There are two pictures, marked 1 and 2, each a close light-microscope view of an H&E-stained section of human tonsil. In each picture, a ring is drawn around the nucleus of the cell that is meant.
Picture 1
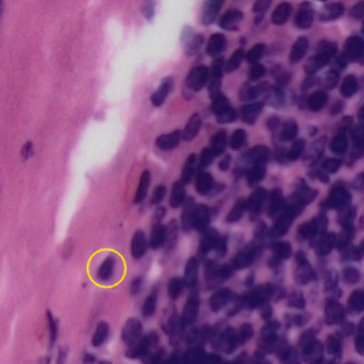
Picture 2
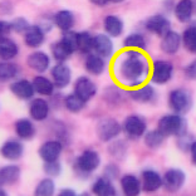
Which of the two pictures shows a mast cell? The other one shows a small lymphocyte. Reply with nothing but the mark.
1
